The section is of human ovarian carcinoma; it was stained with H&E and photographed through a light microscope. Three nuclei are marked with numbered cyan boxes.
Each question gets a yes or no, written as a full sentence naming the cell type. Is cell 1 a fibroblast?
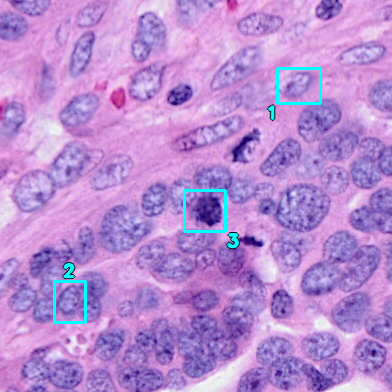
Yes, the cell tagged with number 1 is a fibroblast.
